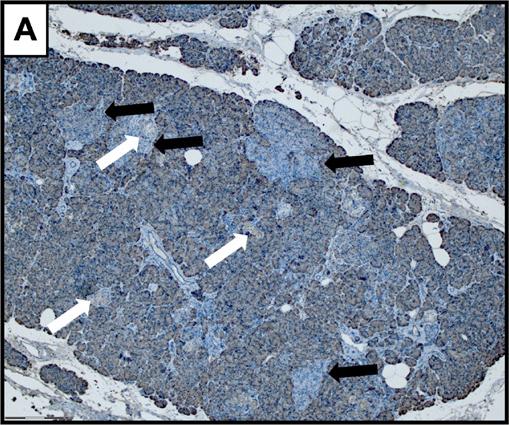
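Lobules of densely packed acini fill the field, separated by pale loose connective tissue septa containing clear fat cells. Most acini carry a grayish-brown stain over a blue counterstain, but several irregular patches of acinar tissue appear pale blue without the brown tone. Scattered small rounded paler clusters within the lobules are islets, some lying next to the unstained acinar patches and some apart from them.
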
